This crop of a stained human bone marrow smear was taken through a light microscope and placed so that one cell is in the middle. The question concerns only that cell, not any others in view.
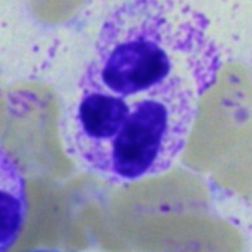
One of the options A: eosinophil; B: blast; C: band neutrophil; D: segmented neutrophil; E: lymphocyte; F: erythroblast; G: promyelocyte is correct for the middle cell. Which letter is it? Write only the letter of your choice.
D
